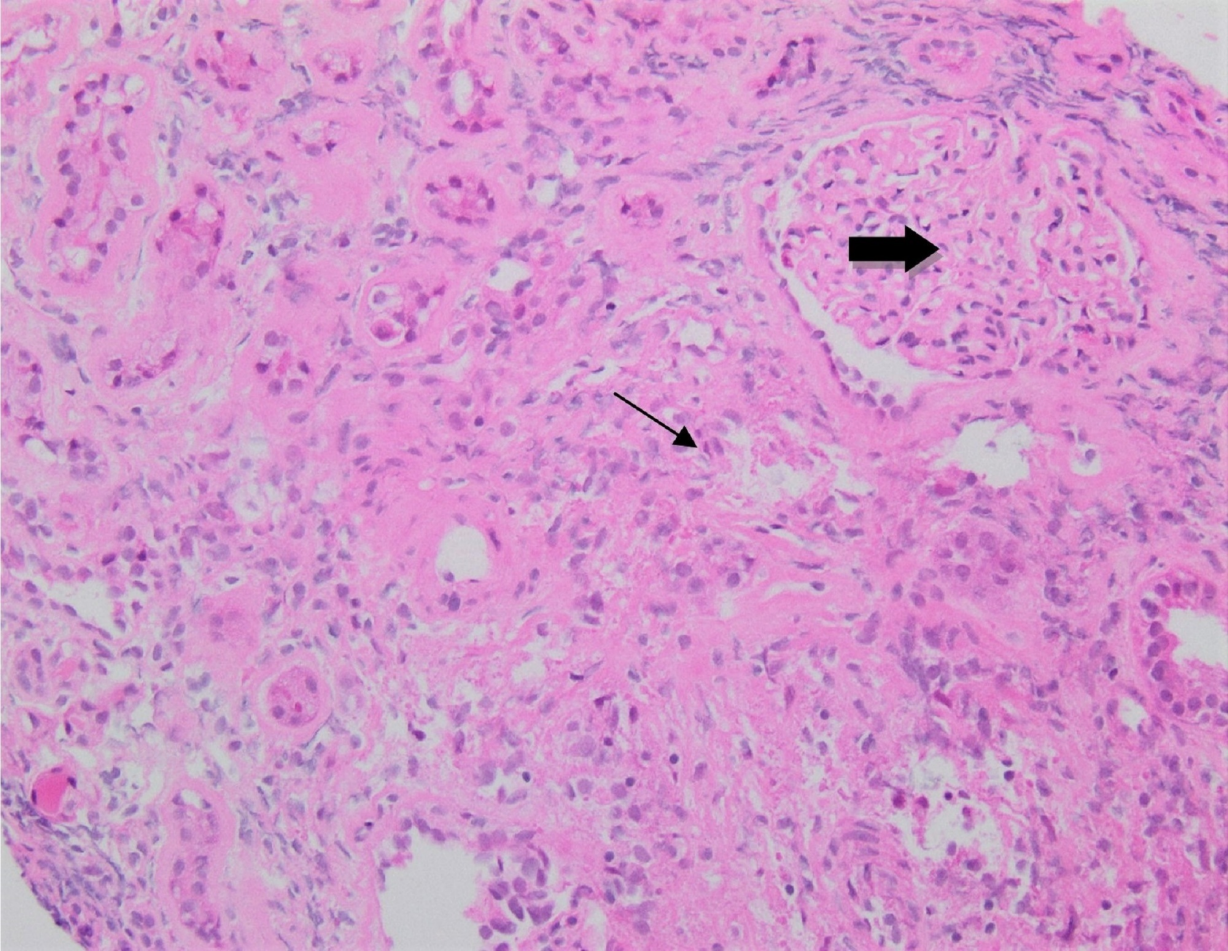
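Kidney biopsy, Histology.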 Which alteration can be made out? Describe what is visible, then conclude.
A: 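The tubules are spread apart by a widened interstitium. The interstitium is crowded with many nuclei of infiltrating cells. Some of these cells have pale, elongated nuclei and ample pink cytoplasm, grouped loosely together.
Hence: granulomatous interstitial nephritis.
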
